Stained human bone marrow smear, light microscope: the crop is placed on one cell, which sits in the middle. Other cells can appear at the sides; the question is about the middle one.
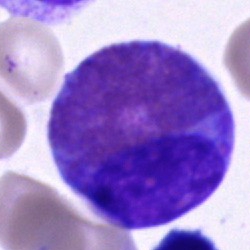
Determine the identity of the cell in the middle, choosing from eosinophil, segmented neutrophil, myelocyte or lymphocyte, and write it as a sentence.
This crop has an eosinophil at its centre.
